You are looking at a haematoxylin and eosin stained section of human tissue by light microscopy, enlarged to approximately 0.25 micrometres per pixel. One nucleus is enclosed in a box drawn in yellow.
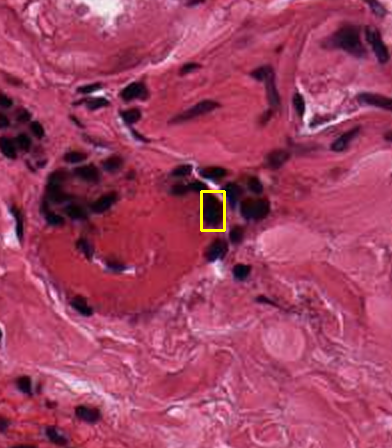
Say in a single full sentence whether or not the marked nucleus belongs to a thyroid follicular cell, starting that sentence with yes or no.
Yes, the marked nucleus is the nucleus of a thyroid follicular cell in this section.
